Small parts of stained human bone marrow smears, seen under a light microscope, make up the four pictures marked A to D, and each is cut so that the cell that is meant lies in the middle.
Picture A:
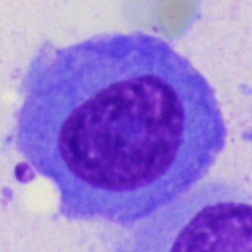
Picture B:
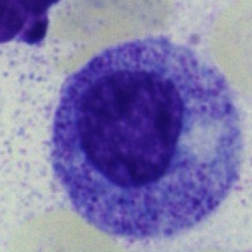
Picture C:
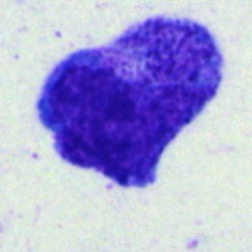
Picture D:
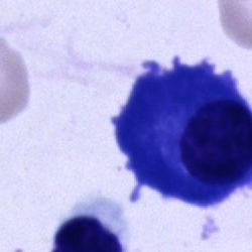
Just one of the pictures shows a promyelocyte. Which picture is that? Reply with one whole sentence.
The promyelocyte is the one in picture C.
